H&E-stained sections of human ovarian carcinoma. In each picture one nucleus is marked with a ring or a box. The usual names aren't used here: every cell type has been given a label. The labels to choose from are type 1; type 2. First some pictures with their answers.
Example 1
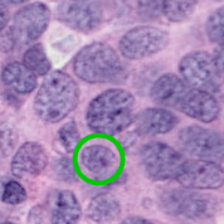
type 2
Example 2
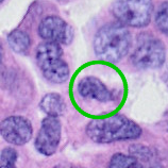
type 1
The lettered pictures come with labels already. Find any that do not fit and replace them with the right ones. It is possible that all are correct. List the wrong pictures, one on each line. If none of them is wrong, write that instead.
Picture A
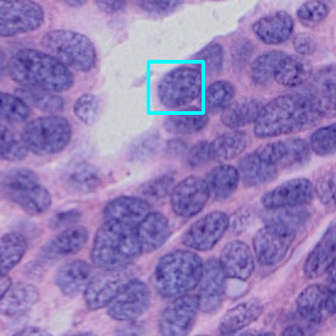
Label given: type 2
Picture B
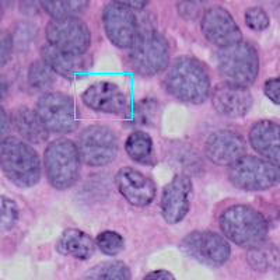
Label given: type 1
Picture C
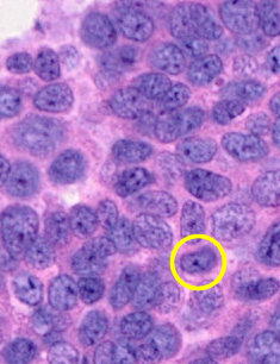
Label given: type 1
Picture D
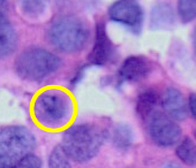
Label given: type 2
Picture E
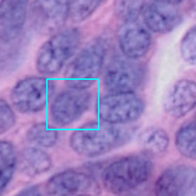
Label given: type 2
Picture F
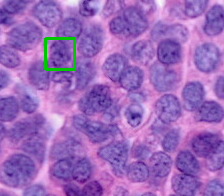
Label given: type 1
D: not type 2 but type 1
F: not type 1 but type 2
